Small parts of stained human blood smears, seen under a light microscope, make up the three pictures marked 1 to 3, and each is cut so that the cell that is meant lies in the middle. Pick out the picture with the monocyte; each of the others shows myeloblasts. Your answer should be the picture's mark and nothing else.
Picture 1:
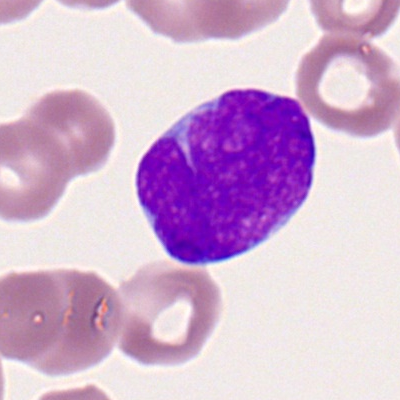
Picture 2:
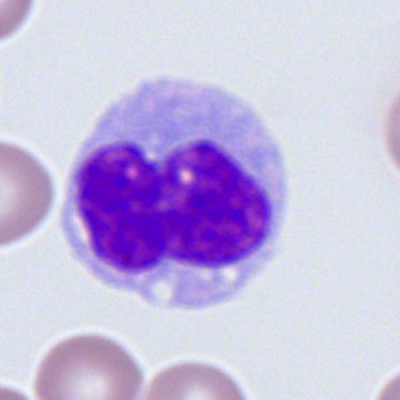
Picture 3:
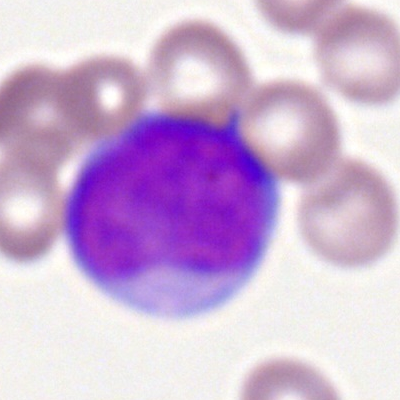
2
